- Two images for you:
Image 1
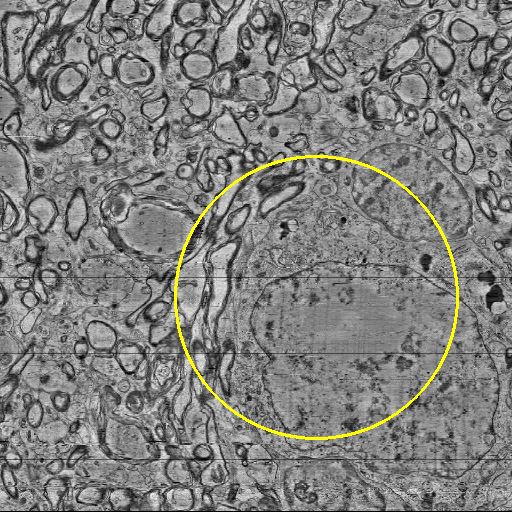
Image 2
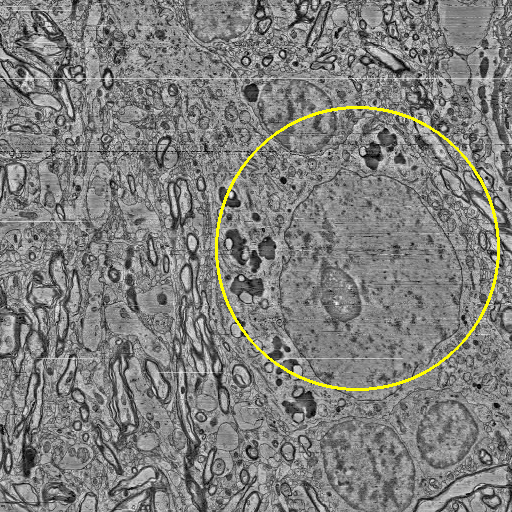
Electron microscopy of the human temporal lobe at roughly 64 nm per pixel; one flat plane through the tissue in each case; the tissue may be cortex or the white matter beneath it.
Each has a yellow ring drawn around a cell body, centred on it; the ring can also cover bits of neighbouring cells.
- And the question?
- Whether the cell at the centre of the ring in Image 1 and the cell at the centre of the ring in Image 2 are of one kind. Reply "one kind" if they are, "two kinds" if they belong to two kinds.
one kind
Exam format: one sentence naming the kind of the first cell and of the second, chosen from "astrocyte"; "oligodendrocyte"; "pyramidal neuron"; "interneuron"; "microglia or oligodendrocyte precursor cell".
The second cell is a pyramidal neuron, just as the first is.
